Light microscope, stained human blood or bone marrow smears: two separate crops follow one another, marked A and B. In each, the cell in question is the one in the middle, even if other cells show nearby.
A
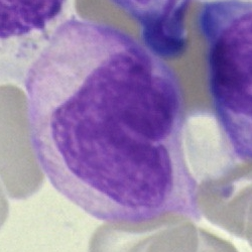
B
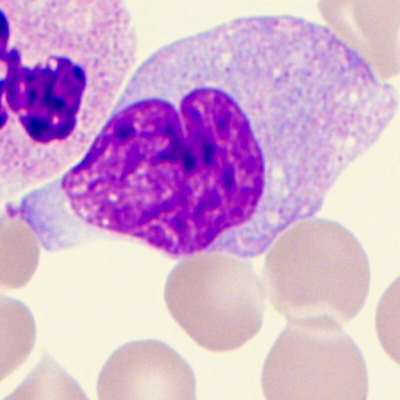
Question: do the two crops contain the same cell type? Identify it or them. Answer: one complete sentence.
Yes, the cells at the centre of both crops are monocytes.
